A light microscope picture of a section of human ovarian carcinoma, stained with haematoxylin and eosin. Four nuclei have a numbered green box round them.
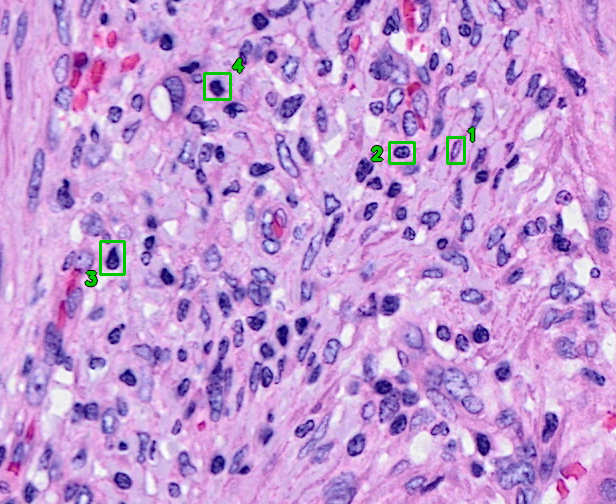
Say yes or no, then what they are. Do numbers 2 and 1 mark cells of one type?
No, cell 2 is a lymphocyte and cell 1 is a fibroblast.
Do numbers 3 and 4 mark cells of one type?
Yes, both are lymphocytes.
